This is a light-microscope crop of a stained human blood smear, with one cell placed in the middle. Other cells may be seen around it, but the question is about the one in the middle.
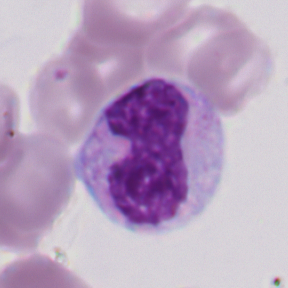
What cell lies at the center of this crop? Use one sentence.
This crop is built around a band neutrophil at its centre.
